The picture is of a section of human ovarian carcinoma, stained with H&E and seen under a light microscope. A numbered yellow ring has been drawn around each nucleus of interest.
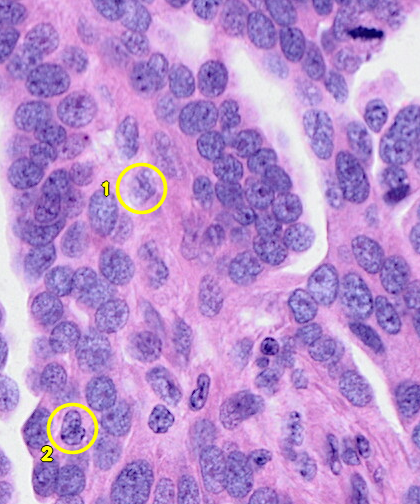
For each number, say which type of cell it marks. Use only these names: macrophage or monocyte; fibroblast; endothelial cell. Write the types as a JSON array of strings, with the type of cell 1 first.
["fibroblast", "macrophage or monocyte"]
